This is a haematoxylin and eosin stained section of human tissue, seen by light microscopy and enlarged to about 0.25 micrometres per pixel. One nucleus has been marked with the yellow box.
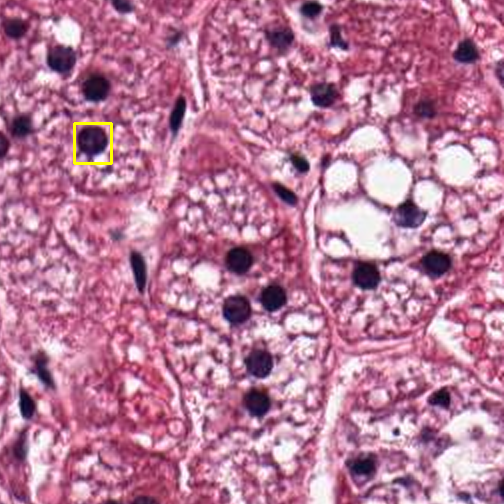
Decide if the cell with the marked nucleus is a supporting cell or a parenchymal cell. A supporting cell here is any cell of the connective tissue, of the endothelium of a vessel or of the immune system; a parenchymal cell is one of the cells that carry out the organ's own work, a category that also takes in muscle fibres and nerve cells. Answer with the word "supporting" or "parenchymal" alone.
parenchymal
